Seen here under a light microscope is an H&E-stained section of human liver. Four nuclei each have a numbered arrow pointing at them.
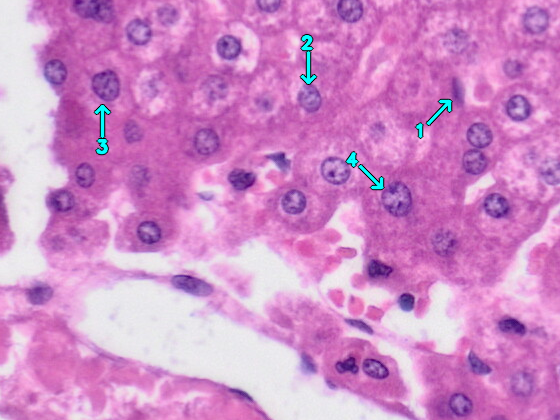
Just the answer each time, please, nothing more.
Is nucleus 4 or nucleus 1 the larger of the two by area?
4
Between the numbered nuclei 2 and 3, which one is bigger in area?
3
